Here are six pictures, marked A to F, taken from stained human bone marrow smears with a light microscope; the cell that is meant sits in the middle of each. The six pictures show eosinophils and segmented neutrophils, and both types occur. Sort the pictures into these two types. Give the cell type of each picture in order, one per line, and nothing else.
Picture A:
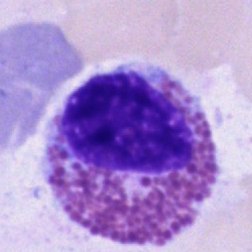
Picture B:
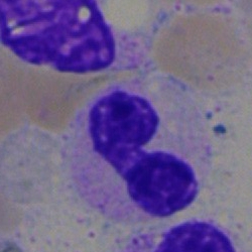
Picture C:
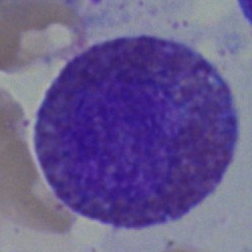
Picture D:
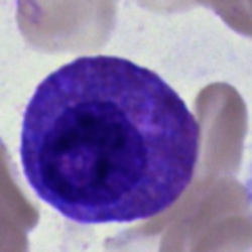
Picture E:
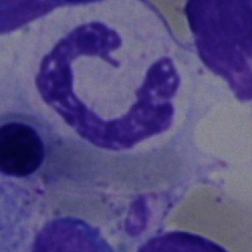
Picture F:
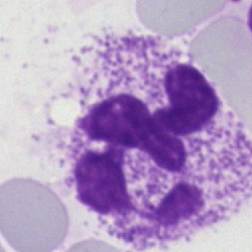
eosinophil
segmented neutrophil
eosinophil
eosinophil
segmented neutrophil
segmented neutrophil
